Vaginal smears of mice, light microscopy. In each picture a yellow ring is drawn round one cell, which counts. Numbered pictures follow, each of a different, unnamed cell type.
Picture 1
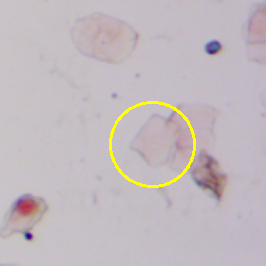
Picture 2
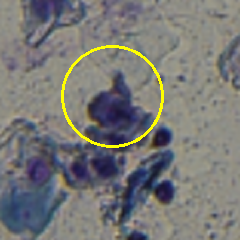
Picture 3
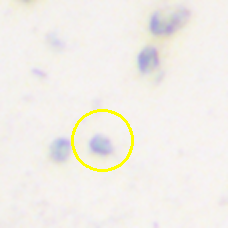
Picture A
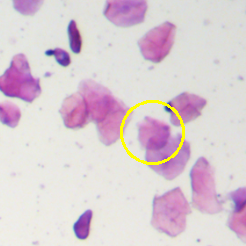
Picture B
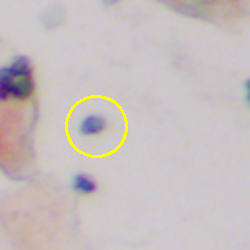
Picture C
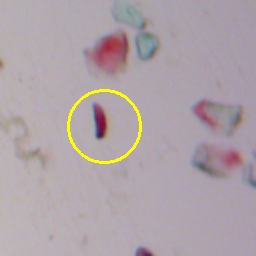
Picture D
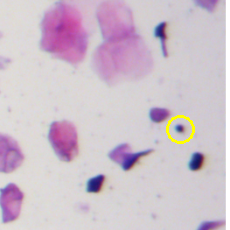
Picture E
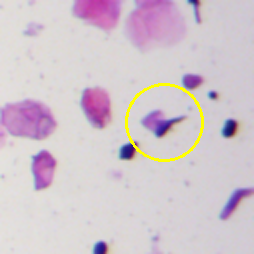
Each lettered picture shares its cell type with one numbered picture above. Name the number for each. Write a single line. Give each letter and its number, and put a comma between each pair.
A 1, B 3, C 1, D 3, E 1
